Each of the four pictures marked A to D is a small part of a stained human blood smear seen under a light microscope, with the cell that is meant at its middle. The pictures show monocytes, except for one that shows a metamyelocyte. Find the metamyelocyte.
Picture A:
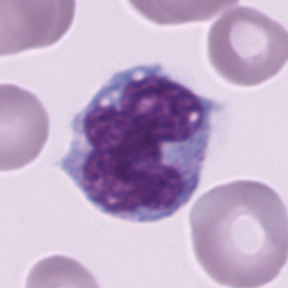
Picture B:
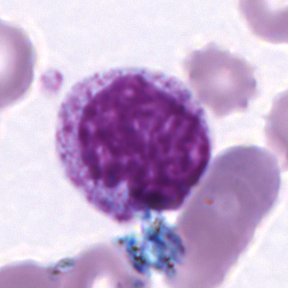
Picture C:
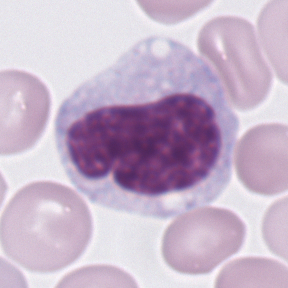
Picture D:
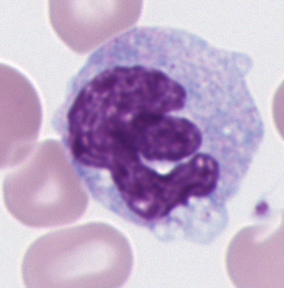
B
